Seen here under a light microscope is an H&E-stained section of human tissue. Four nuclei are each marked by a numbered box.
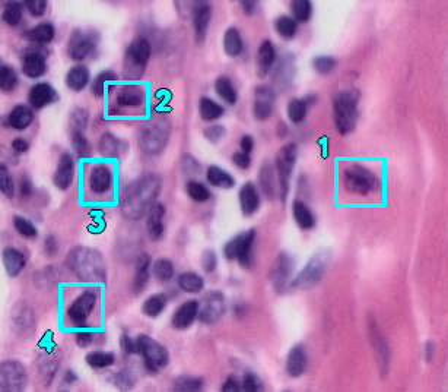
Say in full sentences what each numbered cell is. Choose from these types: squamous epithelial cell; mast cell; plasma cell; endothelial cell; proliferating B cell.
Cell 1 is a mast cell. Cells 2, 3 and 4 are endothelial cells.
